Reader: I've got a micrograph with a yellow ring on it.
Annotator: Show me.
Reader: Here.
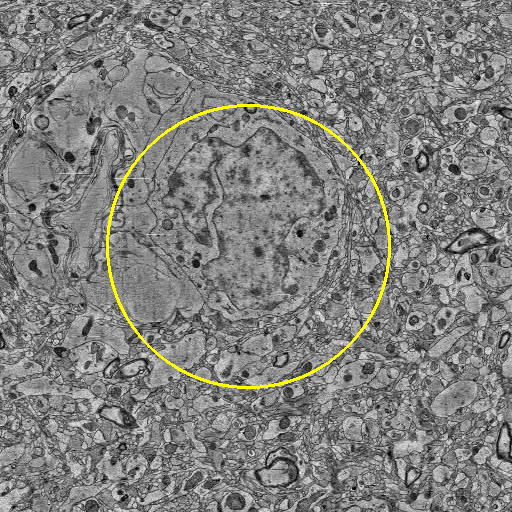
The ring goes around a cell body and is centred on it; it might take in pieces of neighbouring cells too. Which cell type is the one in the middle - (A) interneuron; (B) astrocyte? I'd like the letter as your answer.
A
